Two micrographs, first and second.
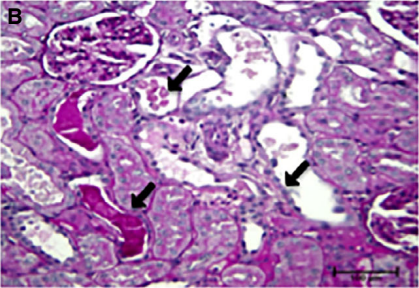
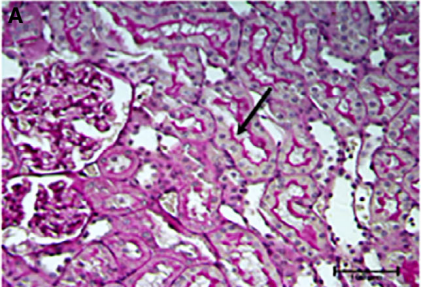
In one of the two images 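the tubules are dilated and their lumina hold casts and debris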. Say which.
the first image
